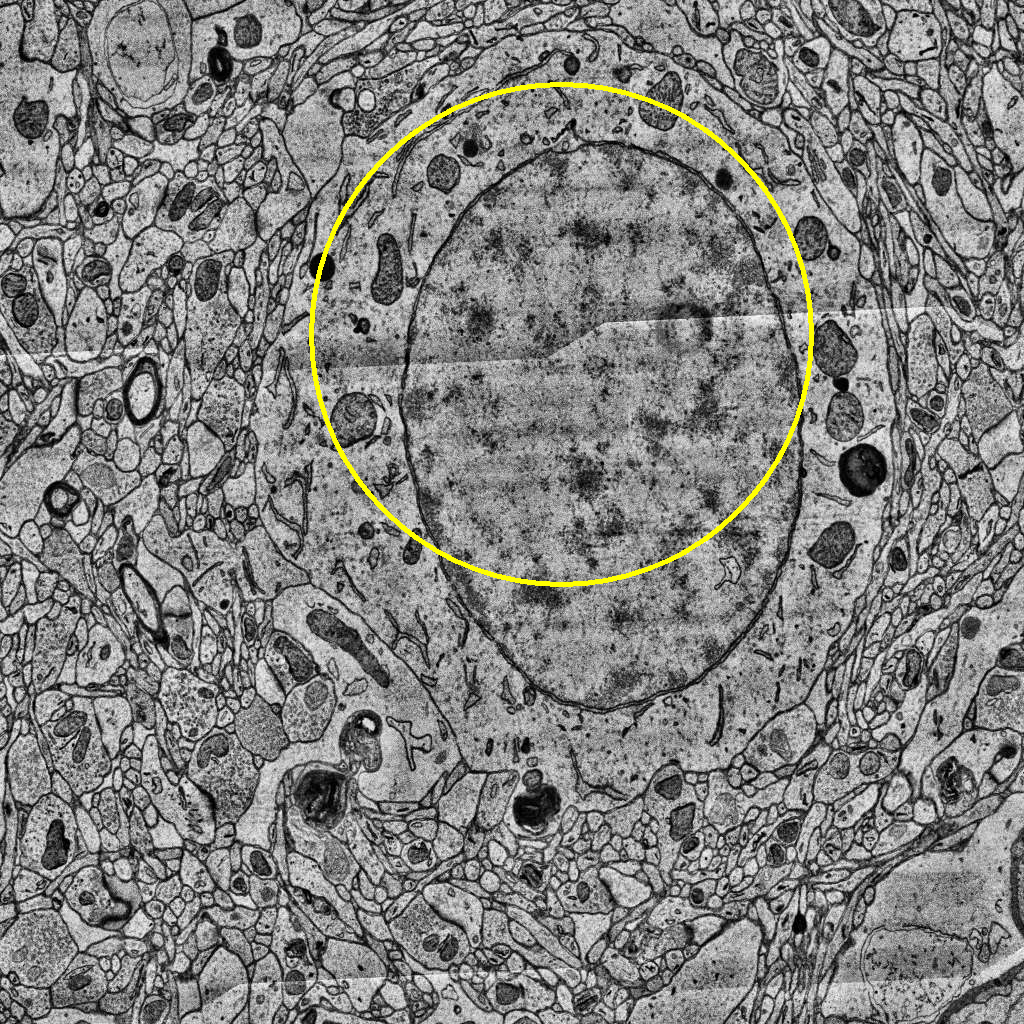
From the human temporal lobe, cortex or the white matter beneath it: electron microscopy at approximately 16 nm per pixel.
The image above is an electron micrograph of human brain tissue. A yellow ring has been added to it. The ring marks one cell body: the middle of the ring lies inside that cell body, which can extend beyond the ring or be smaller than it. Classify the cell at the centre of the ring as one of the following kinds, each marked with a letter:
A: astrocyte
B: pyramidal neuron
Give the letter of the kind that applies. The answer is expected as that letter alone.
B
